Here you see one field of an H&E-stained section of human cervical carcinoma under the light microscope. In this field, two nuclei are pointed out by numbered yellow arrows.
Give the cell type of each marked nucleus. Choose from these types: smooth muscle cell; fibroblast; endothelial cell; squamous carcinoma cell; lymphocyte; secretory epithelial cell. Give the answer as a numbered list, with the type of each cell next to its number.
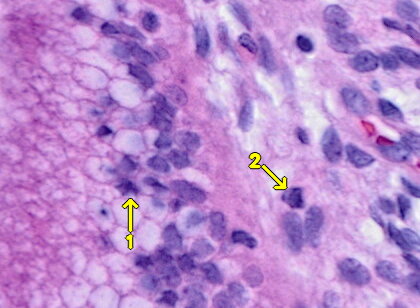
1. secretory epithelial cell
2. lymphocyte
